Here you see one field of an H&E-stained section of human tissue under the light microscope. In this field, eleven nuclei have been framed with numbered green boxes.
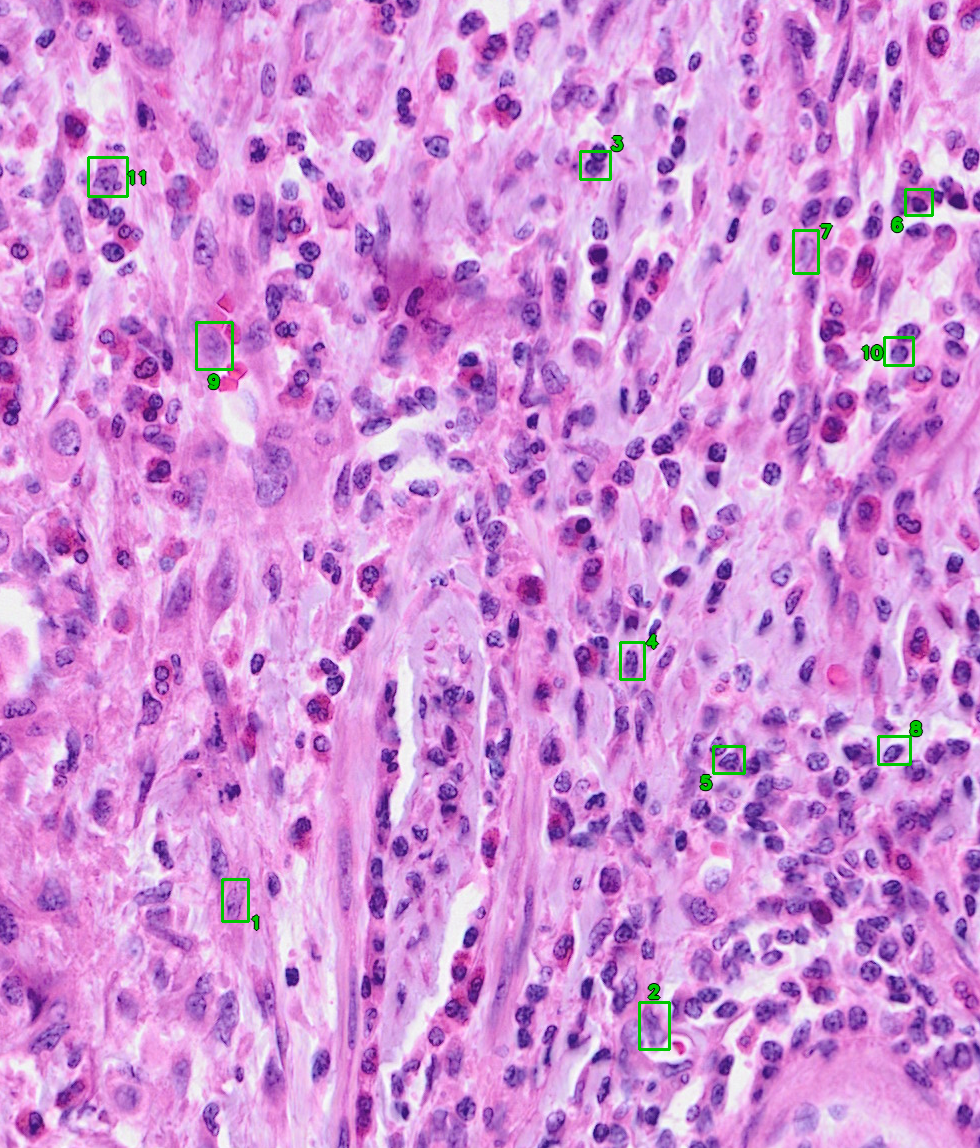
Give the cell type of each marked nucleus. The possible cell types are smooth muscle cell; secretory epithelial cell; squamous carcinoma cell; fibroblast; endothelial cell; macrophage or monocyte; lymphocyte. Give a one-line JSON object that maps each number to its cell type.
{"1": "endothelial cell", "2": "endothelial cell", "3": "lymphocyte", "4": "lymphocyte", "5": "lymphocyte", "6": "lymphocyte", "7": "endothelial cell", "8": "lymphocyte", "9": "endothelial cell", "10": "lymphocyte", "11": "macrophage or monocyte"}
